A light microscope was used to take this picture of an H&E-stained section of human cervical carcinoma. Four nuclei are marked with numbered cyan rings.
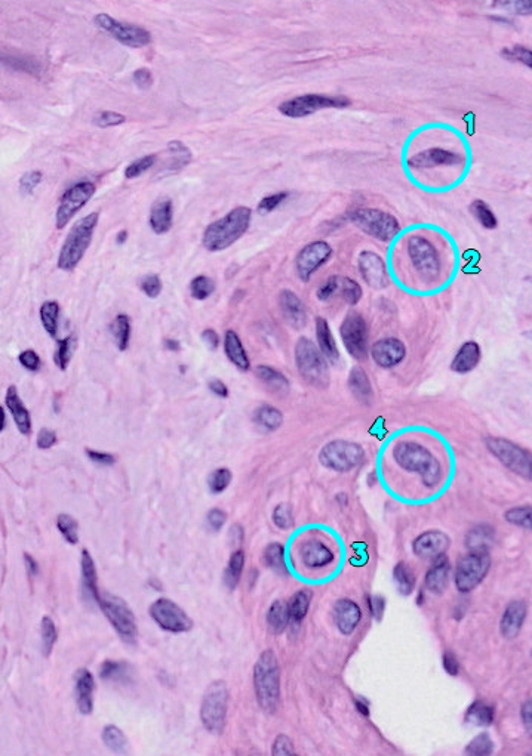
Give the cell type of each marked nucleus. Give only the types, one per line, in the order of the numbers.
fibroblast
smooth muscle cell
smooth muscle cell
smooth muscle cell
